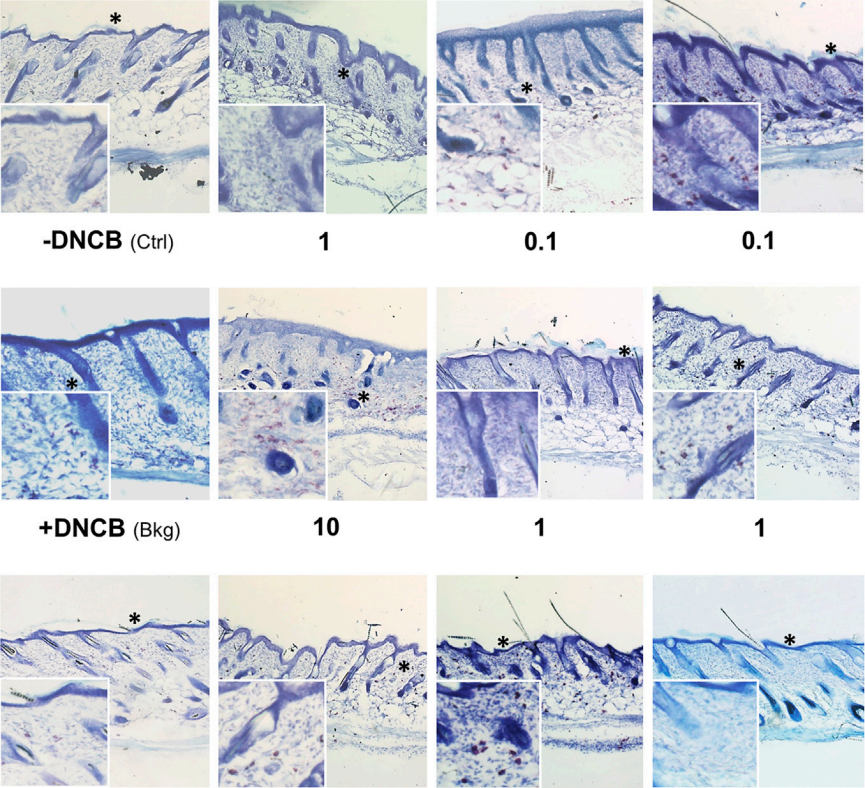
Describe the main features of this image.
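These are sections of skin, each with a thin, dark blue epidermis along the surface. Beneath it lies a paler, loosely textured dermis crossed by elongated hair follicles that stain deep blue. Below the dermis, in several sections, is a layer of clear, rounded fat cells. The enlarged insets show the dermis at higher power, where scattered small cells with purple-red granular staining lie among the fibres.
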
